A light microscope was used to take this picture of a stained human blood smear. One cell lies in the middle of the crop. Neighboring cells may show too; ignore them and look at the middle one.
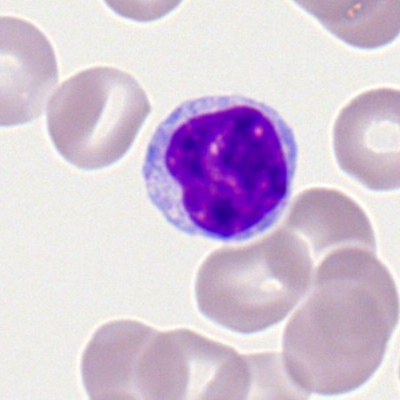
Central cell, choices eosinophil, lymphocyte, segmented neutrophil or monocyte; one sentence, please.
This particular crop is centered on a lymphocyte.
